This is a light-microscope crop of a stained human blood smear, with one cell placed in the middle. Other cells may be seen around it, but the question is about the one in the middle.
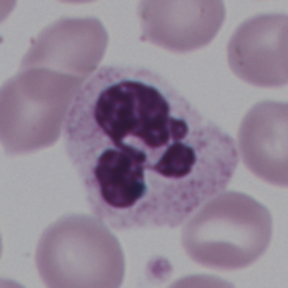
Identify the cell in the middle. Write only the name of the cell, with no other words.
segmented neutrophil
